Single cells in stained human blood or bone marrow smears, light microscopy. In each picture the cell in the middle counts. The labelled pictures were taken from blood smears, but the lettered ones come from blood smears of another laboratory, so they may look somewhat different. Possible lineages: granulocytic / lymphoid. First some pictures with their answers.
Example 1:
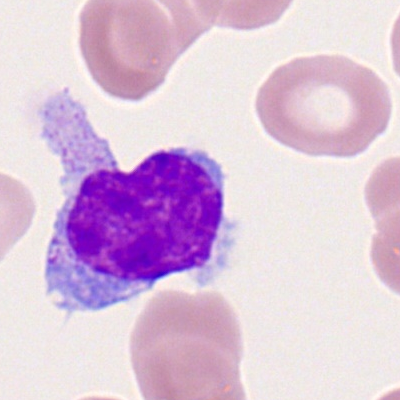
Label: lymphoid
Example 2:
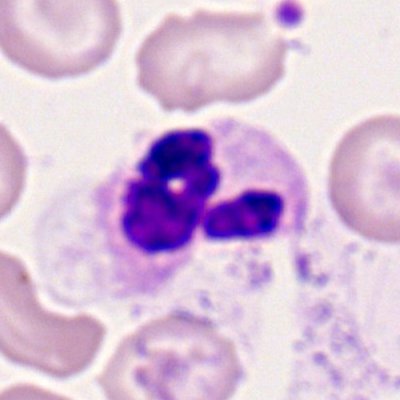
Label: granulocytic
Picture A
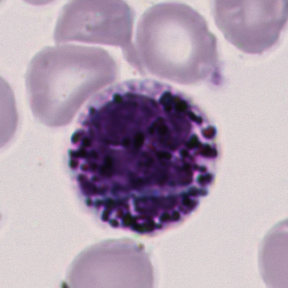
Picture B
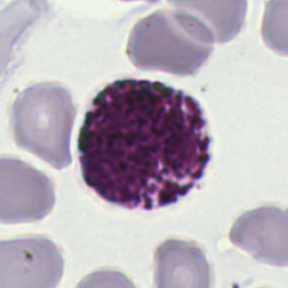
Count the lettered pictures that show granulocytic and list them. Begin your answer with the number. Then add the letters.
2: A, B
